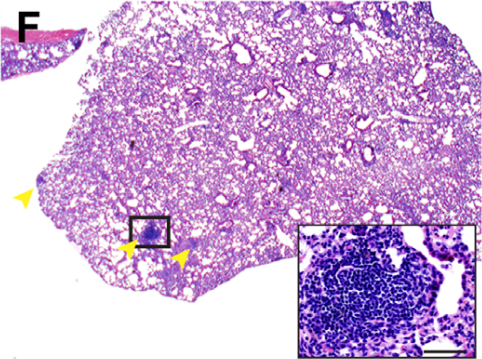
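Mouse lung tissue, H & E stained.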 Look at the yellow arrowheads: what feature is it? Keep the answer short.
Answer: lymphocytic aggregates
